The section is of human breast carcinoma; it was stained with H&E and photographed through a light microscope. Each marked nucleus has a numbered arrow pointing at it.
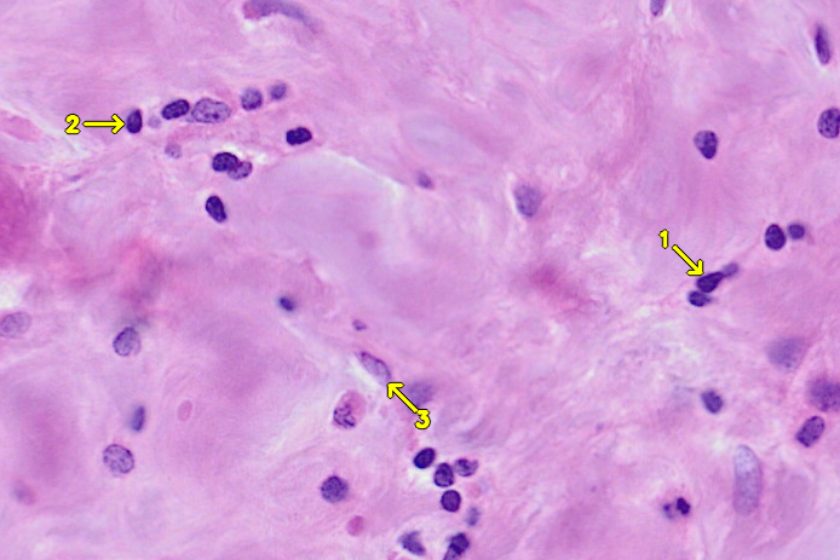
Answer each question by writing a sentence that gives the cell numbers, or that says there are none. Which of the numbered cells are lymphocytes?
Cells 1 and 2 are classified as lymphocytes.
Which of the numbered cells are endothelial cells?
There are no endothelial cells in the group of numbered cells.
